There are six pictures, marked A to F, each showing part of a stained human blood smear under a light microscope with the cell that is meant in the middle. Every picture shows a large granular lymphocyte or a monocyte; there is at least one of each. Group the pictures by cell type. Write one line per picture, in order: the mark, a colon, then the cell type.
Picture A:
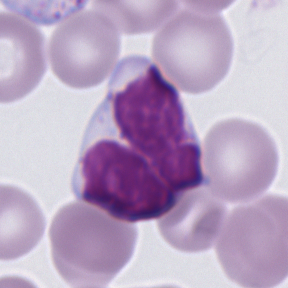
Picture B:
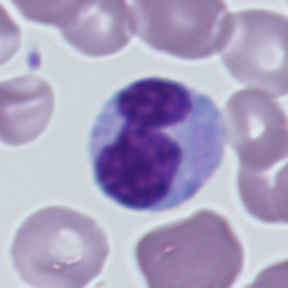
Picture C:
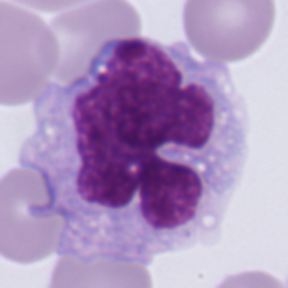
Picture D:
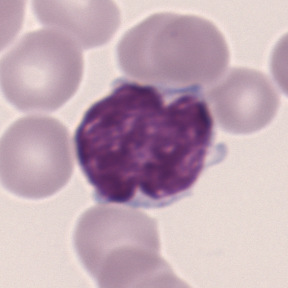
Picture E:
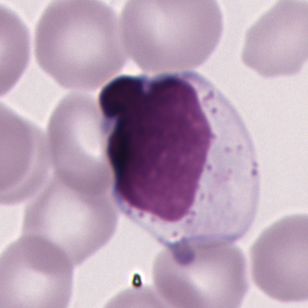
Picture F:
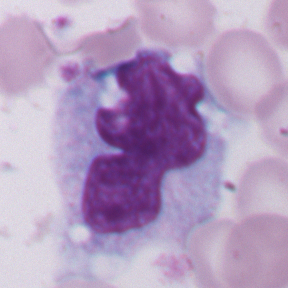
A: large granular lymphocyte
B: monocyte
C: monocyte
D: large granular lymphocyte
E: large granular lymphocyte
F: monocyte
